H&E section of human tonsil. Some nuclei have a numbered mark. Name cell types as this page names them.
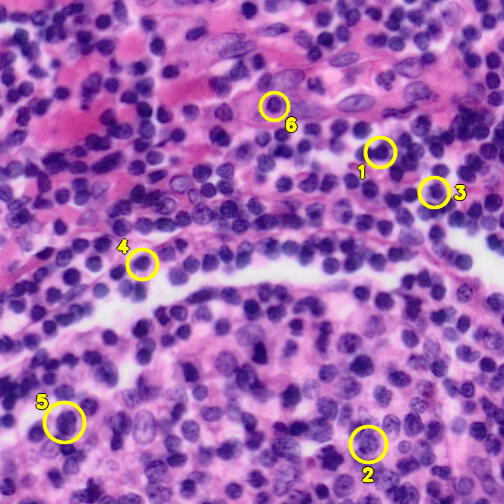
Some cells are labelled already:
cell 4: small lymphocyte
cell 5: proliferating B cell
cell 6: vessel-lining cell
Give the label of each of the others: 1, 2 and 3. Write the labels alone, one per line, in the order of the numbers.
small lymphocyte
proliferating B cell
small lymphocyte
